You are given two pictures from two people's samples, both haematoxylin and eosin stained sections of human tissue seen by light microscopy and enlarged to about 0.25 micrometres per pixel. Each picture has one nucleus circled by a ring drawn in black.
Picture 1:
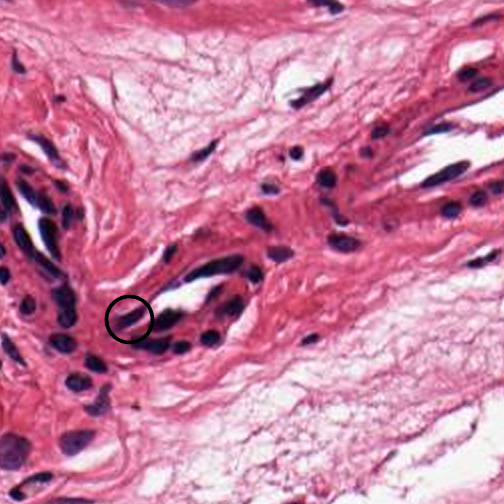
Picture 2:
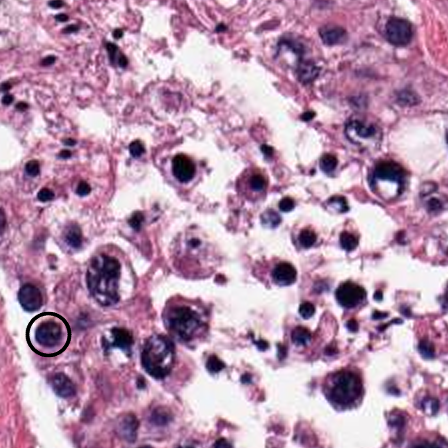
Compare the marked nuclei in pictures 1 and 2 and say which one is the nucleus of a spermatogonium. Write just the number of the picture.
2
